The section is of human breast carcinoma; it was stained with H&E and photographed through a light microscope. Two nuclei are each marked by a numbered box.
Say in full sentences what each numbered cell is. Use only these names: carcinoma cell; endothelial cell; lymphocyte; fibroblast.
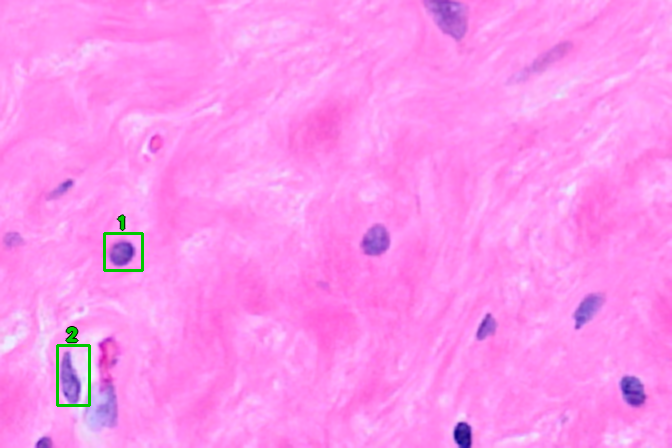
Cell 1 is a lymphocyte. Cell 2 is an endothelial cell.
